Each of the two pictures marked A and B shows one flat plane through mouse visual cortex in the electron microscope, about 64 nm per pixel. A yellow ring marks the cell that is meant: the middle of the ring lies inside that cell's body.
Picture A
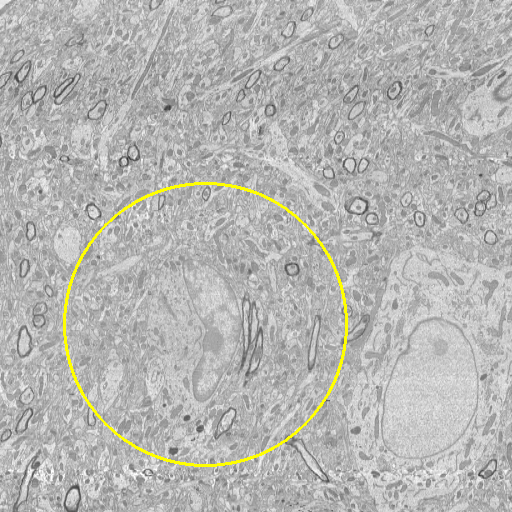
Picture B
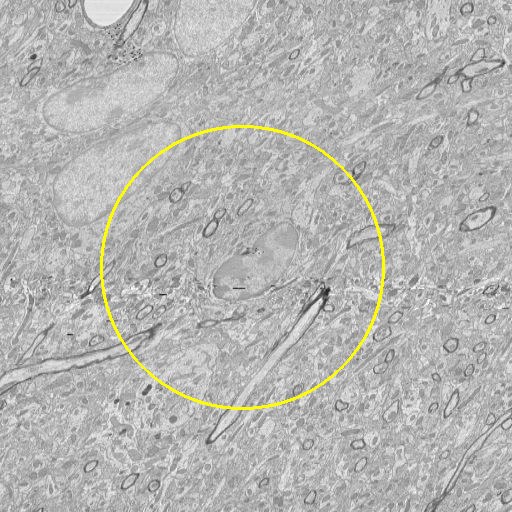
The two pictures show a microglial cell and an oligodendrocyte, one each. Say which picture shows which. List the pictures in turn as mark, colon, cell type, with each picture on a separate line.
A: oligodendrocyte
B: microglial cell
